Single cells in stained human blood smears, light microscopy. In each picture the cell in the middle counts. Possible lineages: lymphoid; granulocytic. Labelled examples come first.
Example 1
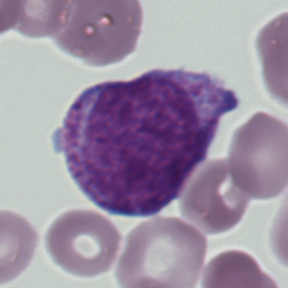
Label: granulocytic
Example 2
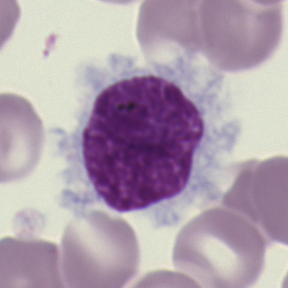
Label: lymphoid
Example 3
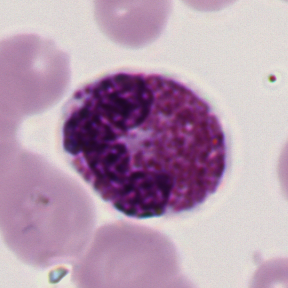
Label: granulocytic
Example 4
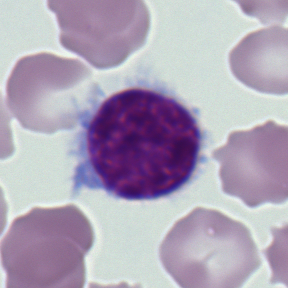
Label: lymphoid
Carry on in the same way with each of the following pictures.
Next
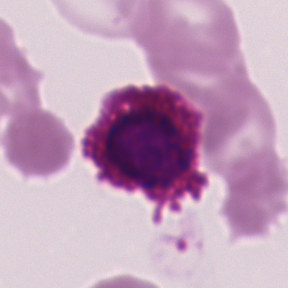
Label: granulocytic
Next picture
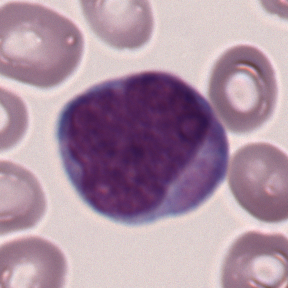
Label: granulocytic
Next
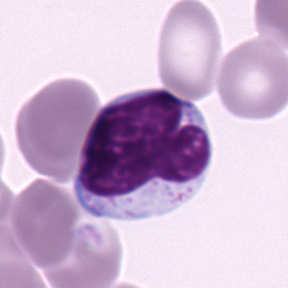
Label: lymphoid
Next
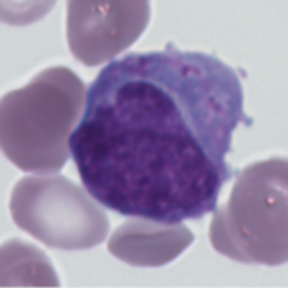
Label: granulocytic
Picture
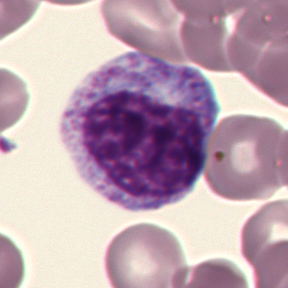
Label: granulocytic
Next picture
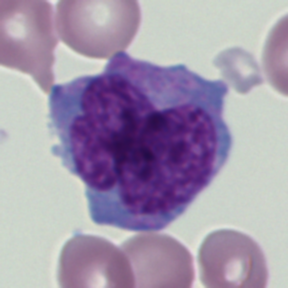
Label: granulocytic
